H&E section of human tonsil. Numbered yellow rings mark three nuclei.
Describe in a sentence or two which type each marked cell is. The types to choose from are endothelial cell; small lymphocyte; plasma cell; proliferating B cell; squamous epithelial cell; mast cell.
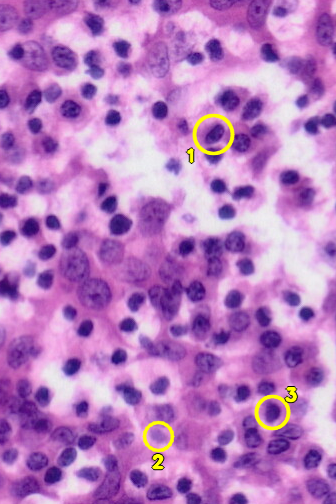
Cells 1 and 3 are plasma cells. Cell 2 is a squamous epithelial cell.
